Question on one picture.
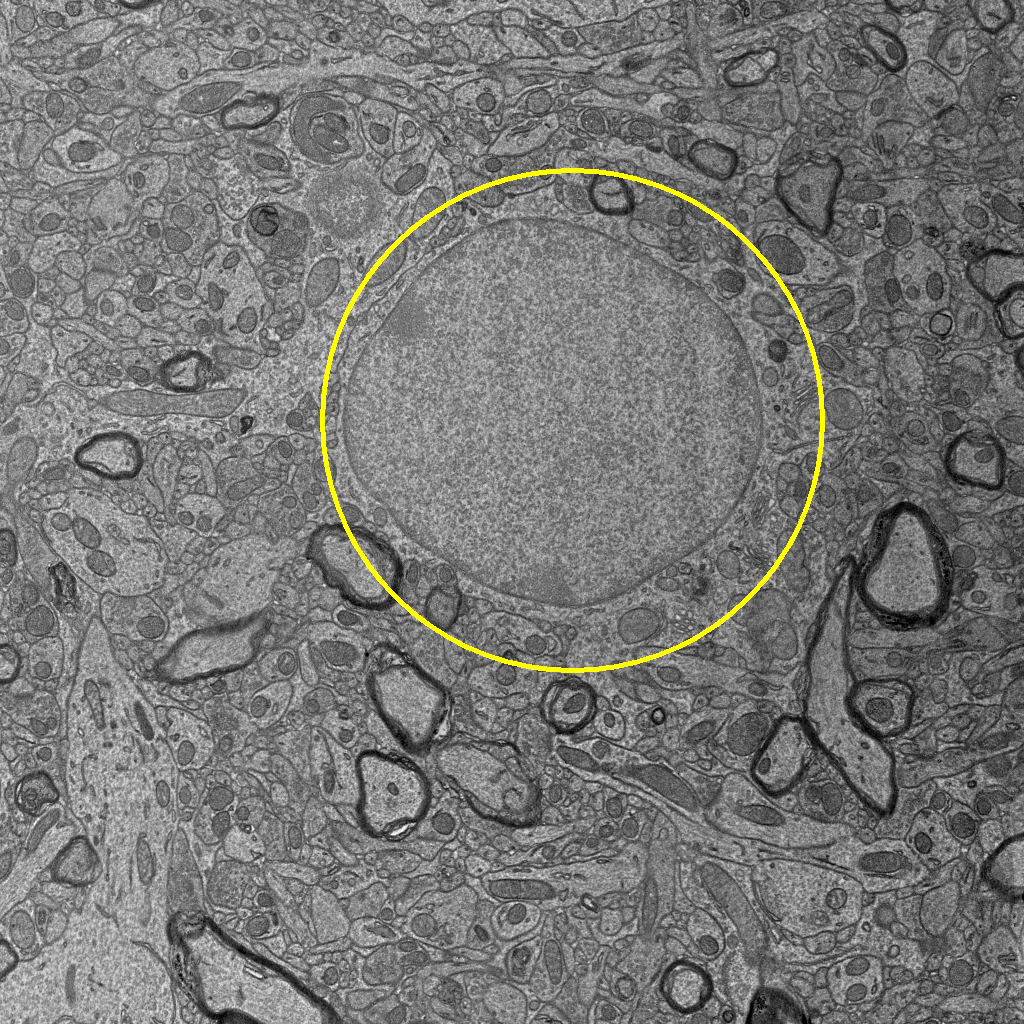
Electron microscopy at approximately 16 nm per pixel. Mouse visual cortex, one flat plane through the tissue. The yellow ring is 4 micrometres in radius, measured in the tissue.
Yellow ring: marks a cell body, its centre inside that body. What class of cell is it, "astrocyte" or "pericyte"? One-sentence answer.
This is an astrocyte, the cell at the ring's centre.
